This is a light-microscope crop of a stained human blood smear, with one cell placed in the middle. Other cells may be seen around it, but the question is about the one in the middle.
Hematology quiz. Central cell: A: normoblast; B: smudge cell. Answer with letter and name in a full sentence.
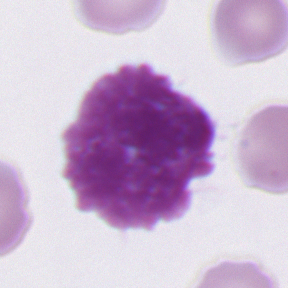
Here the central cell is a smudge cell, and option B is correct.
